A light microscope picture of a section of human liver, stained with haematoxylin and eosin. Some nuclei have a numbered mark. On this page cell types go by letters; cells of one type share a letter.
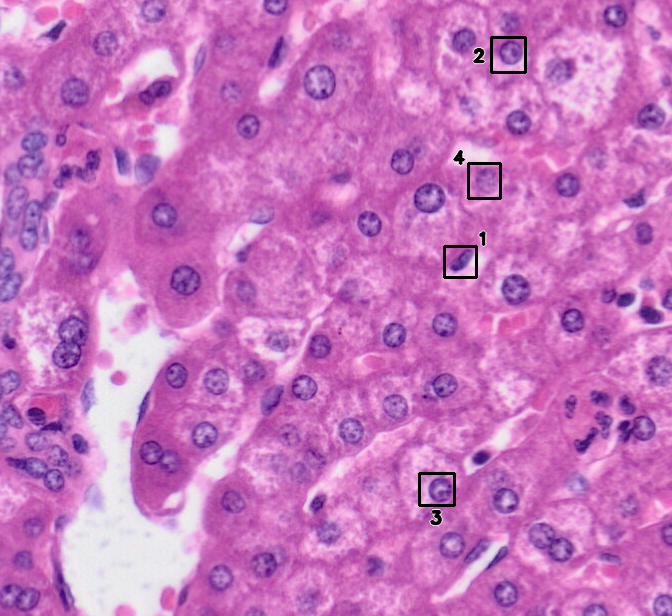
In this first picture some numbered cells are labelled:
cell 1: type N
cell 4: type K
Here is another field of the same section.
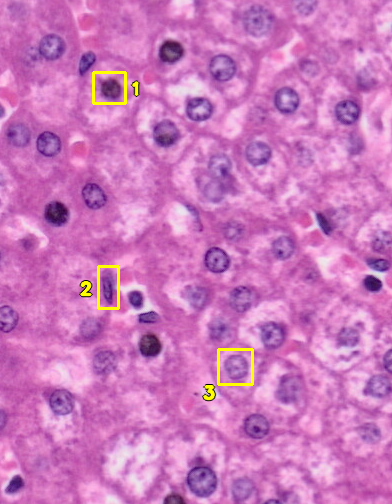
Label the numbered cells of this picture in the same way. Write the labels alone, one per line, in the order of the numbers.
type K
type N
type K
